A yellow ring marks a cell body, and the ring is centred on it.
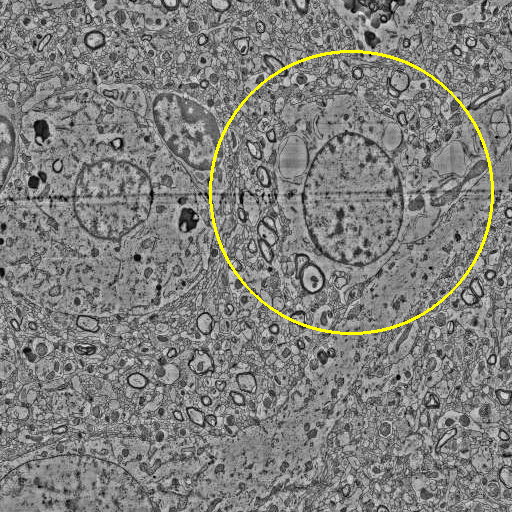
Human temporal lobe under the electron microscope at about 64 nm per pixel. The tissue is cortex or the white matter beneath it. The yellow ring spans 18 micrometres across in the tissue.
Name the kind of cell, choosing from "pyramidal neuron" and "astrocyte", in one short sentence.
The marked cell body belongs to an astrocyte.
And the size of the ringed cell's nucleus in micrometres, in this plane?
The nucleus has a long axis of about 8 micrometres and a short axis of about 6 micrometres in this plane.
